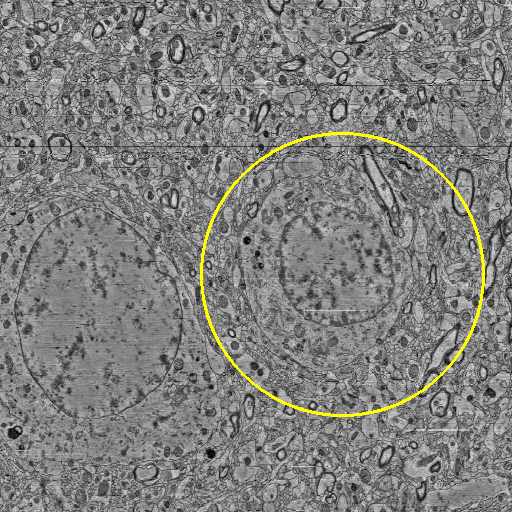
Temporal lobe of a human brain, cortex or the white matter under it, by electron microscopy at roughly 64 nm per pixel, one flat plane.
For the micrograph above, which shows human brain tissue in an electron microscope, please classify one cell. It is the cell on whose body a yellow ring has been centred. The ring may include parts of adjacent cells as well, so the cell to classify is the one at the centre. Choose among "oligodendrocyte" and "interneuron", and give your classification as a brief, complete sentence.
I classify this cell as an interneuron.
